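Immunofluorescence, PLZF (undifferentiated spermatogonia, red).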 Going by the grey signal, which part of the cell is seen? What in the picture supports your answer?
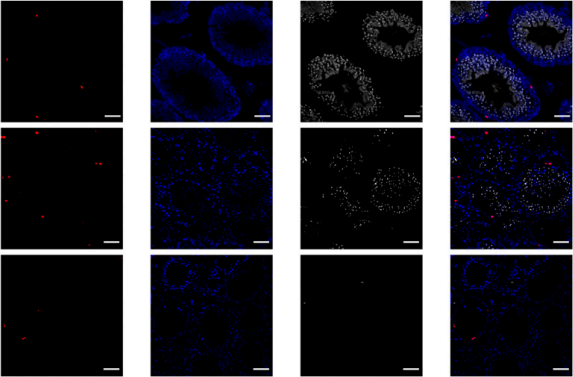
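Spermatid acrosomes. Grey dots fill the inner part of some tubules around the lumen. Grey dots are absent from the outer rim of the tubules.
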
